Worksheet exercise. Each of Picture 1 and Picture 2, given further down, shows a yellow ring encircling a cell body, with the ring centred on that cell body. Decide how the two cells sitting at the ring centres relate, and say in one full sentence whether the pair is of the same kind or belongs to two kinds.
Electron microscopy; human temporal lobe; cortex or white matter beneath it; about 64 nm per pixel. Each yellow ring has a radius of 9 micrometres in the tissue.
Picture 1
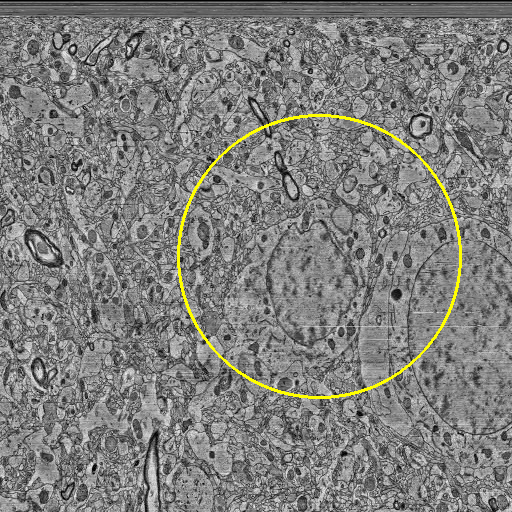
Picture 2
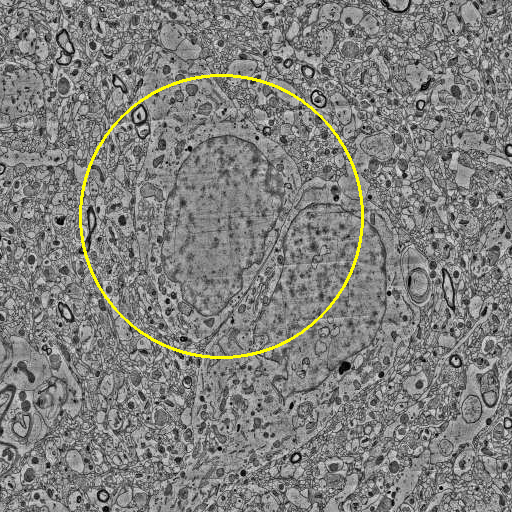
The cells at the ring centres in Picture 1 and Picture 2 are of the same kind.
